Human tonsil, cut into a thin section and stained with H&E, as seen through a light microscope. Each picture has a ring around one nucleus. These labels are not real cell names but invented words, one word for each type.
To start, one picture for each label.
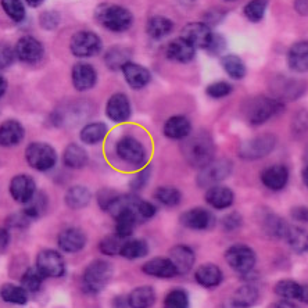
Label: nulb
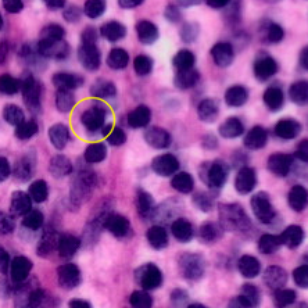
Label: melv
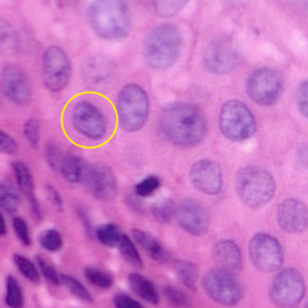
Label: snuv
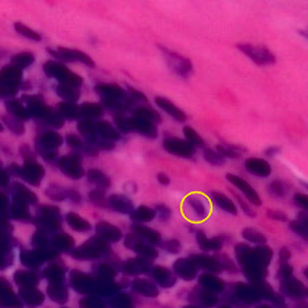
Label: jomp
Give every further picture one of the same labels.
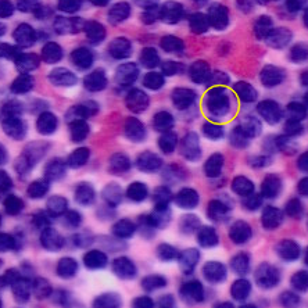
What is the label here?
melv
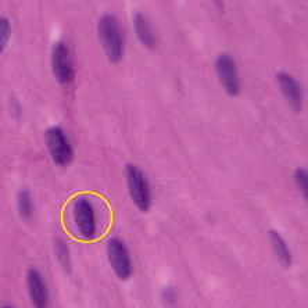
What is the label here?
snuv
